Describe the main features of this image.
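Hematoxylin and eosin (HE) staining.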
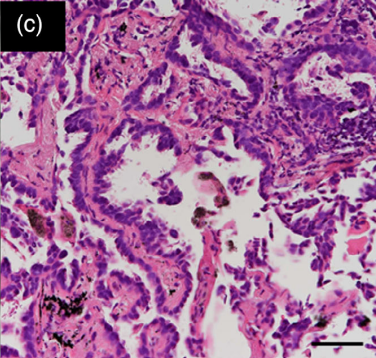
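Tumor tissue with tumor cells lining papillary fronds: strips and tufts of cells with crowded, dark purple nuclei rest on thin pink stromal cores, with open spaces between the fronds. Scattered black and brown pigment lies in the stroma.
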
